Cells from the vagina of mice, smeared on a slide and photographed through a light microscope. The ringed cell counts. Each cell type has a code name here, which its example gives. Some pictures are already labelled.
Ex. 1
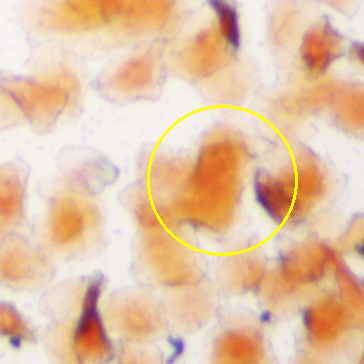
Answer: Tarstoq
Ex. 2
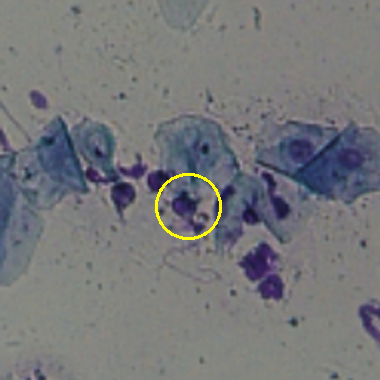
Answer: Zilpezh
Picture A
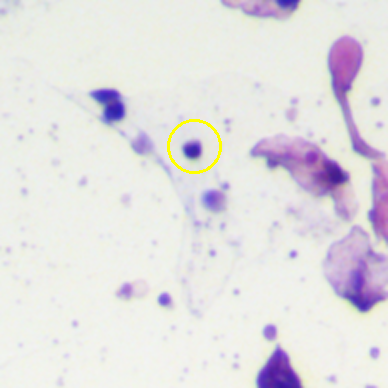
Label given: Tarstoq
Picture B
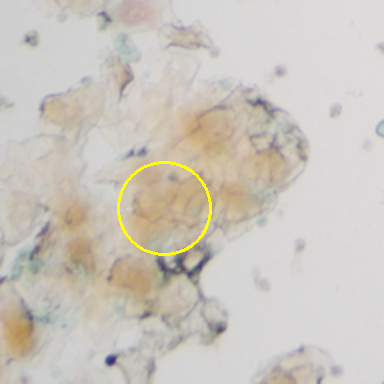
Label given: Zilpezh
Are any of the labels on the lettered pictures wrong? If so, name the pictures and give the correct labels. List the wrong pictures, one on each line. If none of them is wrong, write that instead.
A: change Tarstoq to Zilpezh
B: change Zilpezh to Tarstoq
